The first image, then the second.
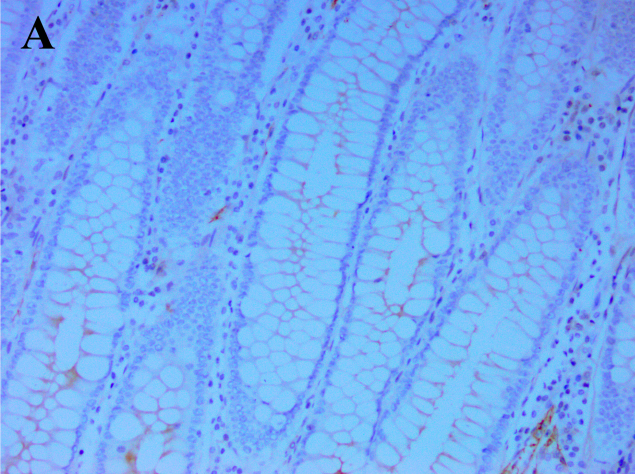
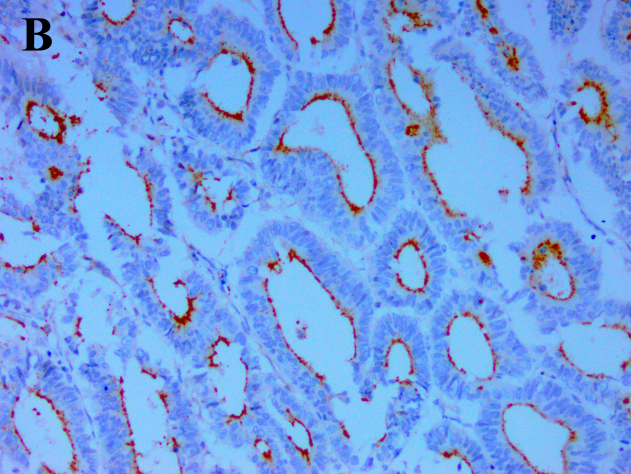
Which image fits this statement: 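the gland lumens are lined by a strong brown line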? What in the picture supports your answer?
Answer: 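The second image. Second image: a bold brown line rims nearly every gland lumen. First image: only faint pinkish tinge along the crypts, no strong brown border.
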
